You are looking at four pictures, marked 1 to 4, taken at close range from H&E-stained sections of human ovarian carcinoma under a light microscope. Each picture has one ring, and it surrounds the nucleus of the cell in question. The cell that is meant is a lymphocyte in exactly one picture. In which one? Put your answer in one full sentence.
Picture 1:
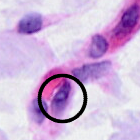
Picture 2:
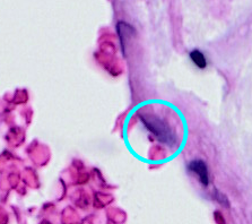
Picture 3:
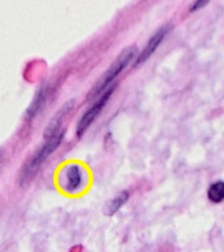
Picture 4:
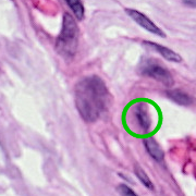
Picture 3 shows the lymphocyte.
